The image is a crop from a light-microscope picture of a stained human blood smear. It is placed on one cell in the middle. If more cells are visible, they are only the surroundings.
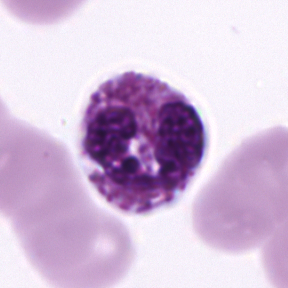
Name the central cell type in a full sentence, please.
For this crop, the cell in the middle is an eosinophil.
